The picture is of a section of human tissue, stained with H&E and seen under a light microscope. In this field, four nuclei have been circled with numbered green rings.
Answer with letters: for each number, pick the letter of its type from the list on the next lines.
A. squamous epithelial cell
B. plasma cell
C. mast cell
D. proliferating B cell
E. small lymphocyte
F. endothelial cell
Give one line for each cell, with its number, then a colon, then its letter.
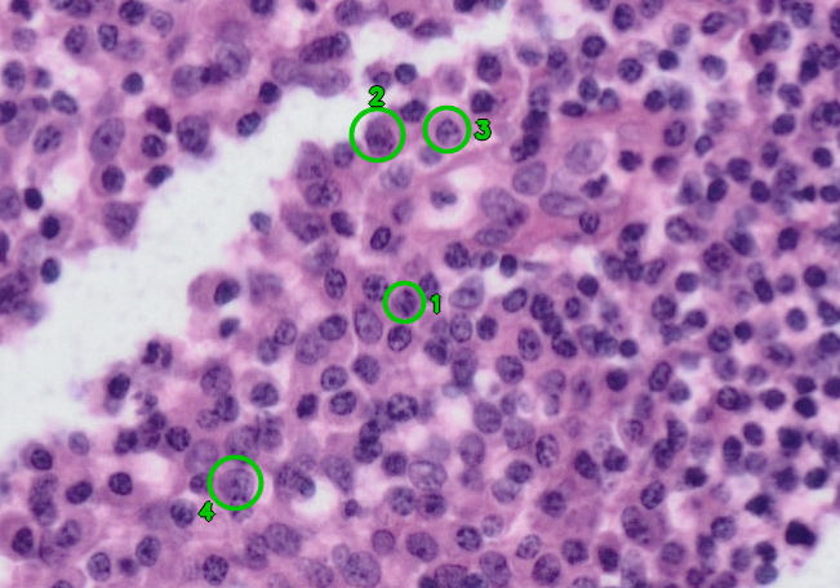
1: B
2: A
3: B
4: A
